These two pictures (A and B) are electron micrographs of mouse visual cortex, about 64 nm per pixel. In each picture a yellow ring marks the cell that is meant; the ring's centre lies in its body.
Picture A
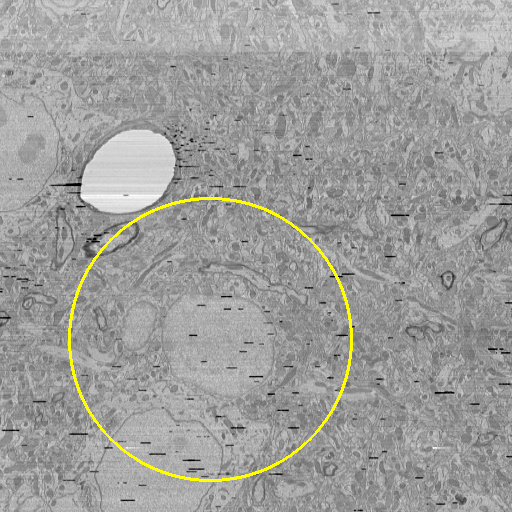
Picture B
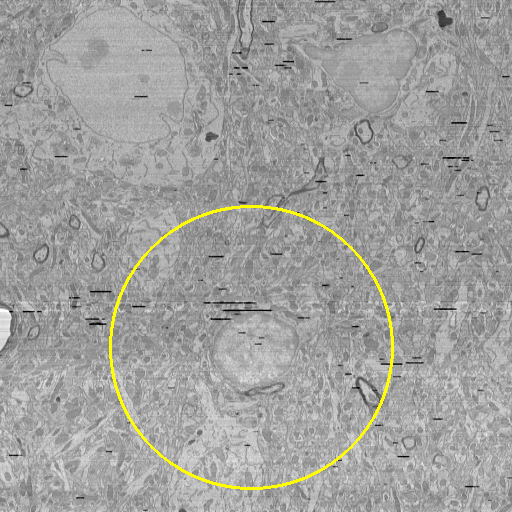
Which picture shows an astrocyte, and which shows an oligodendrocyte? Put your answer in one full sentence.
The cell in picture A is an astrocyte, and the one in picture B is an oligodendrocyte.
